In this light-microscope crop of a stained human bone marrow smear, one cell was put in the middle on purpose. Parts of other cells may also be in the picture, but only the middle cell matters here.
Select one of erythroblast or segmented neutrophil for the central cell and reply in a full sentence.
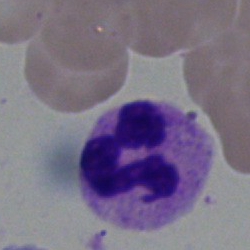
This particular crop is centered on a segmented neutrophil.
